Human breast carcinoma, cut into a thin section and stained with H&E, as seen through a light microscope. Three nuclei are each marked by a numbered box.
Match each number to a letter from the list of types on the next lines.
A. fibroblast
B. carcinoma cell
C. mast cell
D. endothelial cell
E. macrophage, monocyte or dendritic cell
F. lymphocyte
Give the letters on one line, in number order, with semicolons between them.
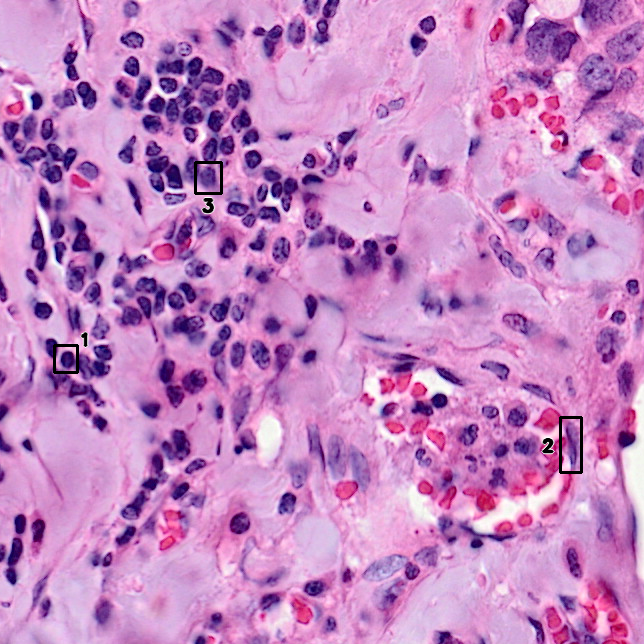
F; D; F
